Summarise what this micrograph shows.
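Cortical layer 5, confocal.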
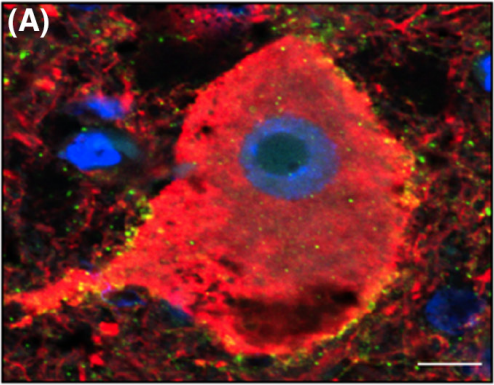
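A large, roughly triangular nerve cell body of the cortex fills the centre, its cytoplasm bright red, with a thick process tapering off toward the lower left. Its nucleus is large, round and pale blue, set centrally, with a darker central spot like a nucleolus. Fine green dots are sprinkled over the cell and gather along its outer margin, especially at the left and lower edges, where they blend with red to look yellow. Smaller, dense blue nuclei of neighbouring cells lie outside the cell body, and a meshwork of red fibres fills the surrounding tissue. This is a pyramidal neuron with small puncta clustered on its surface.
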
